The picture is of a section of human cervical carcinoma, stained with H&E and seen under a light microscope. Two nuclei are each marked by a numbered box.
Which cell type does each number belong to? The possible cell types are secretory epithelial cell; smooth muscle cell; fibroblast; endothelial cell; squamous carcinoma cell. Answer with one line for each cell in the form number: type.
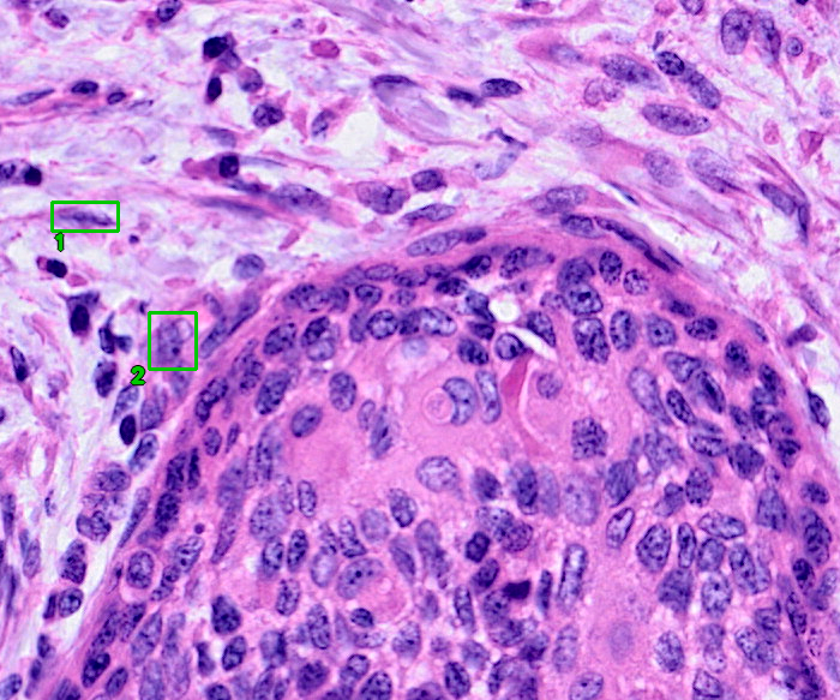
1: fibroblast
2: endothelial cell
